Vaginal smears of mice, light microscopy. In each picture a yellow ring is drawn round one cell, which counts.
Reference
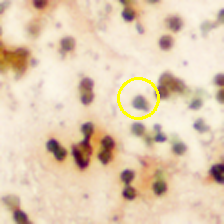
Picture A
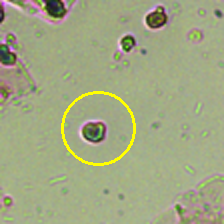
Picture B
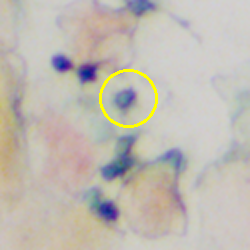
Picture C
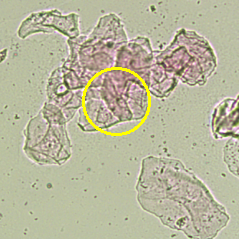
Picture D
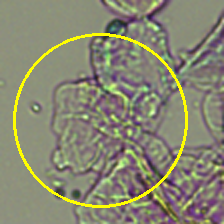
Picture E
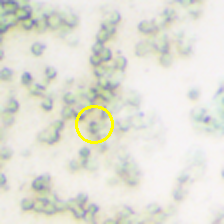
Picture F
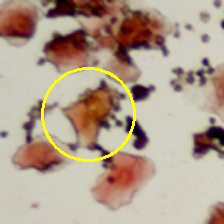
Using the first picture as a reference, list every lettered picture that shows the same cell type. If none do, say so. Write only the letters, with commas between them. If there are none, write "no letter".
A, B, E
